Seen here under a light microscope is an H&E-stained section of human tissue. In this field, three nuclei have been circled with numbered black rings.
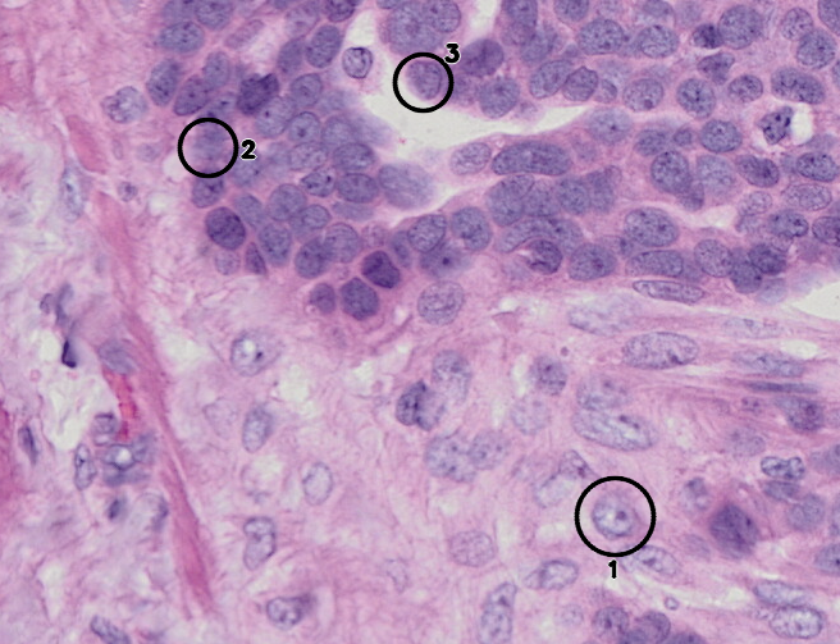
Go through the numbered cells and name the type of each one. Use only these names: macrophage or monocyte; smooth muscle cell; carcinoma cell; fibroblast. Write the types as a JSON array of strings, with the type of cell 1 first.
["fibroblast", "carcinoma cell", "carcinoma cell"]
